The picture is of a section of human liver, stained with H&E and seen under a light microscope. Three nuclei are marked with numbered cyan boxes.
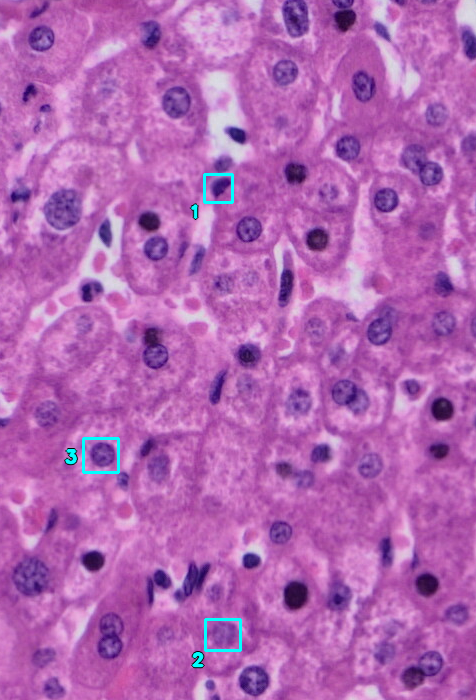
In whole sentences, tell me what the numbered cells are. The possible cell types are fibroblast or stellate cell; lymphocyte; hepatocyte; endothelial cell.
Cell 1 is a fibroblast or stellate cell. Cells 2 and 3 are hepatocytes.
